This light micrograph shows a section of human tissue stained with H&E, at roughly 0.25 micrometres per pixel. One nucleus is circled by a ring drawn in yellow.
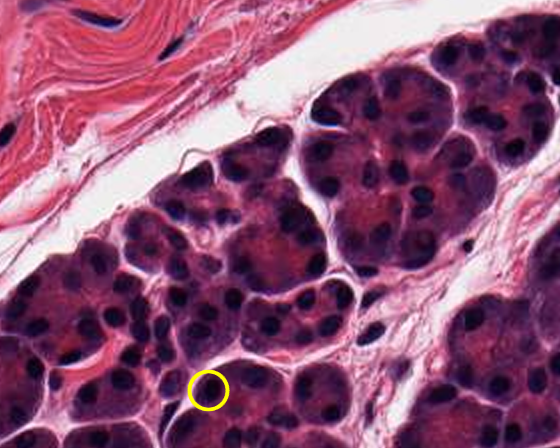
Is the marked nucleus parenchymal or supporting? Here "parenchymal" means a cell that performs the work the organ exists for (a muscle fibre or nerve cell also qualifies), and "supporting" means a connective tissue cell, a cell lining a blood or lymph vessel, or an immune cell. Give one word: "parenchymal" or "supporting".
parenchymal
